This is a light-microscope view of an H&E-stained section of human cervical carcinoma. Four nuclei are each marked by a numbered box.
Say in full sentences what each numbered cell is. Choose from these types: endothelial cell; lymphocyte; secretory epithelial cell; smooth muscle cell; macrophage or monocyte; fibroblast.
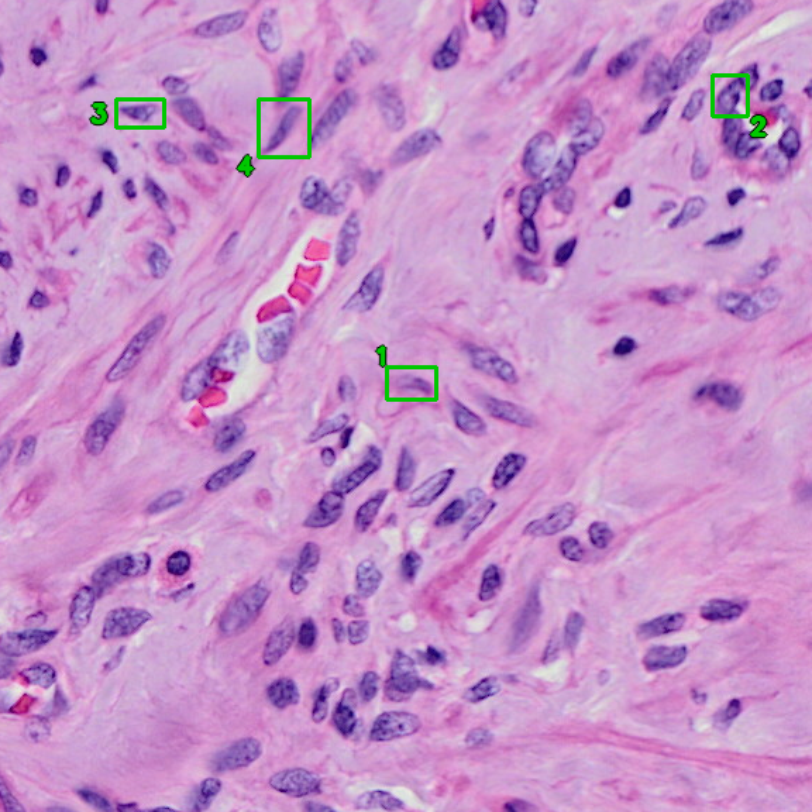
Cells 1, 3 and 4 are smooth muscle cells. Cell 2 is an endothelial cell.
